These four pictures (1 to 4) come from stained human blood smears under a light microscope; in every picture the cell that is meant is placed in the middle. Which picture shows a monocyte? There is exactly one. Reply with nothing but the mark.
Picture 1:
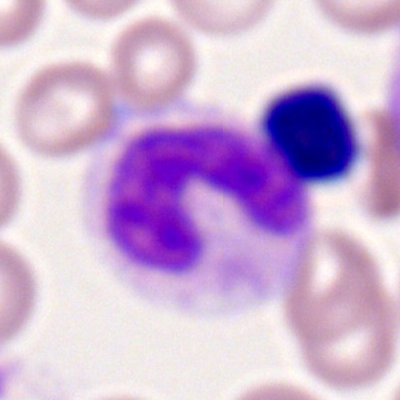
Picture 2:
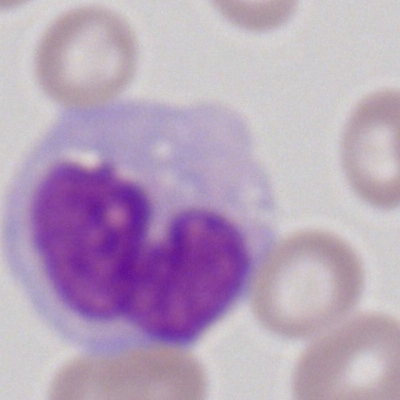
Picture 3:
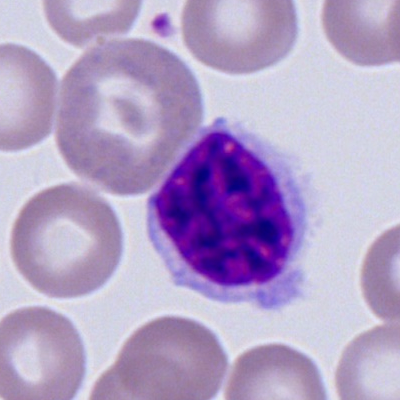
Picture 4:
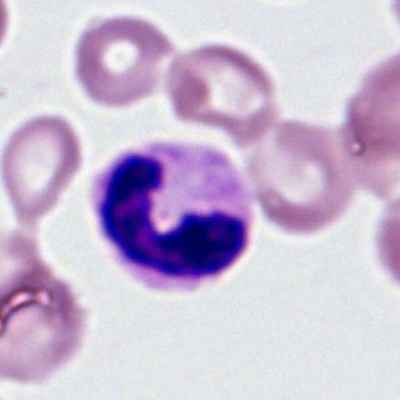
2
